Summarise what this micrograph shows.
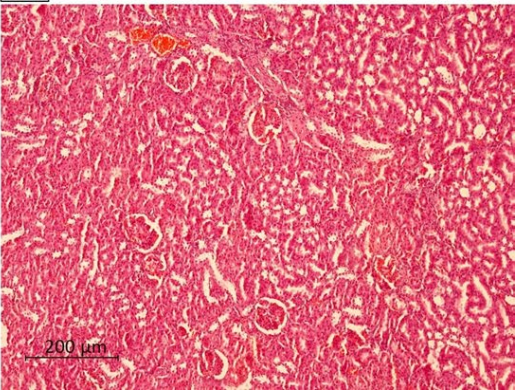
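This is kidney cortex with renal corpuscles and renal tubules. Scattered renal corpuscles appear as rounded, densely cellular tufts, each surrounded by a thin clear capsular space. Between them lie closely packed tubules cut in cross and oblique section, lined by pink-staining epithelial cells with dark nuclei around small lumens. A small vessel containing red blood cells and a strand of connective tissue are visible near the top of the field. Tubules and corpuscles look orderly, with no obvious collections of inflammatory cells or areas of necrosis.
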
